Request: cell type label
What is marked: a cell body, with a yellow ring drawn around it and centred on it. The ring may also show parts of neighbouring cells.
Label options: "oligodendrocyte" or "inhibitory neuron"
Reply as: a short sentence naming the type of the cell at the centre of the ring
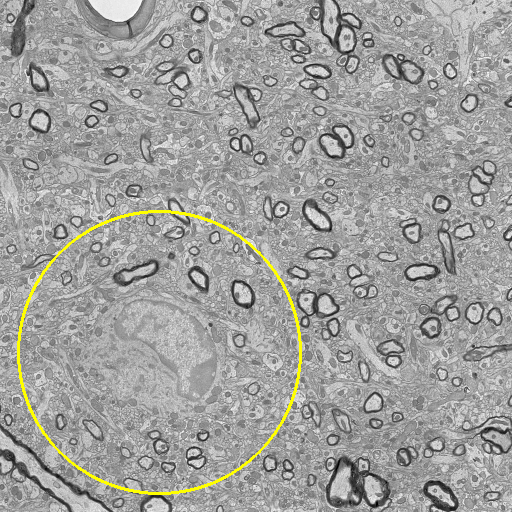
The marked cell body is that of an oligodendrocyte.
